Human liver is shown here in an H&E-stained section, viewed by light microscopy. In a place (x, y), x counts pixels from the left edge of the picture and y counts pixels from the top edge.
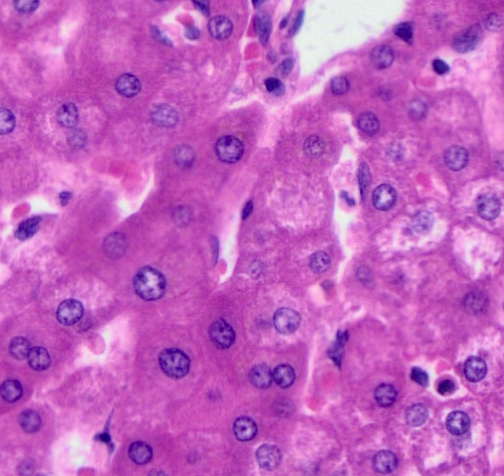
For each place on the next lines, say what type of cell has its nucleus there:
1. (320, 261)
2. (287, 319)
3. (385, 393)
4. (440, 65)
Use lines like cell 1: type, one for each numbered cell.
cell 1: hepatocyte
cell 2: hepatocyte
cell 3: hepatocyte
cell 4: lymphocyte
